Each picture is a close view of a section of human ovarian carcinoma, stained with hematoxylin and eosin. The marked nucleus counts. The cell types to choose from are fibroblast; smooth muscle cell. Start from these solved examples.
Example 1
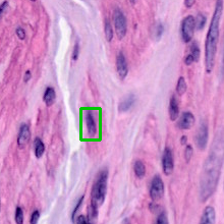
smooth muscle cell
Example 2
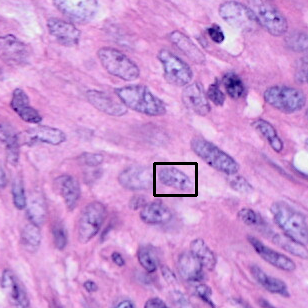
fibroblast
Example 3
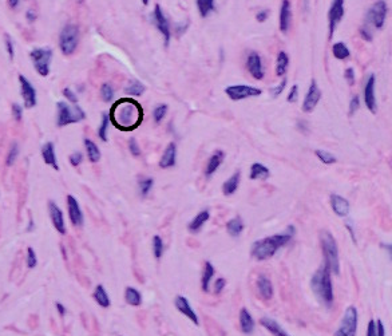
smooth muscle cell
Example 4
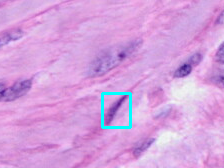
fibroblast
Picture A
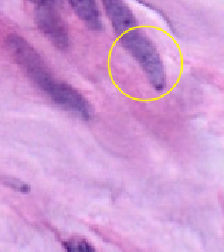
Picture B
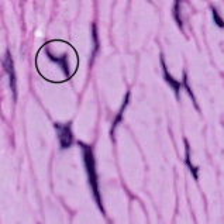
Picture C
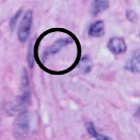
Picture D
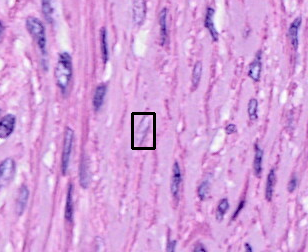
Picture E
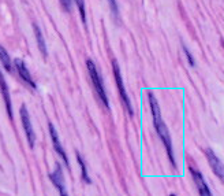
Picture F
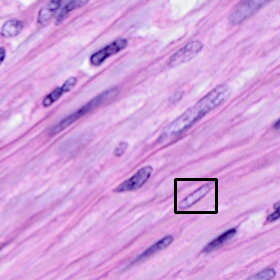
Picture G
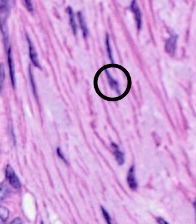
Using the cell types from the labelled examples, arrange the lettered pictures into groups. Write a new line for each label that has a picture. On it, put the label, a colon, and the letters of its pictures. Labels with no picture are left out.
fibroblast: B, C, D, E, F, G
smooth muscle cell: A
